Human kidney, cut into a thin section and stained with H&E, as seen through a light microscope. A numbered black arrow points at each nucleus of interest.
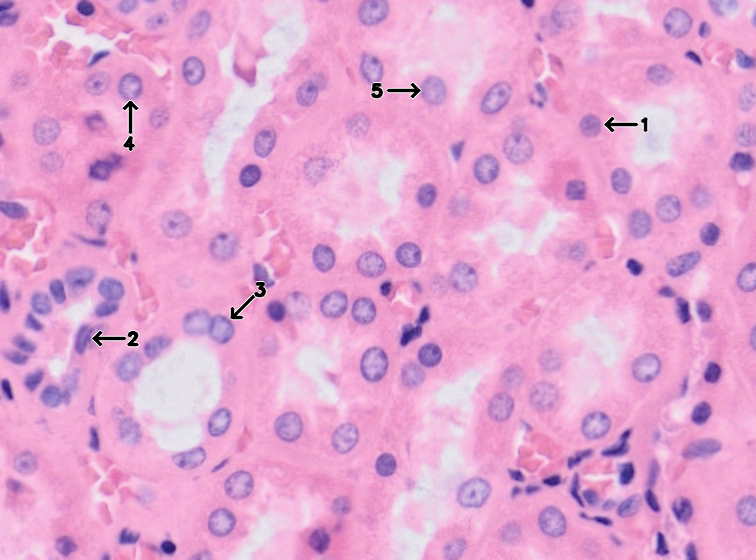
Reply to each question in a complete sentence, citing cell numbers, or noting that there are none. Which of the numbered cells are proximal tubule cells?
Cells 1, 4 and 5 are classified as proximal tubule cells.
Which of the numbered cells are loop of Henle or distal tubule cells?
Cell 3 is a loop of Henle or distal tubule cell, and that holds for no other numbered cell.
